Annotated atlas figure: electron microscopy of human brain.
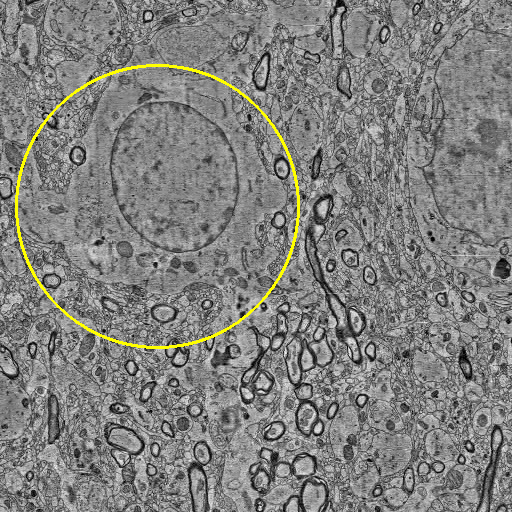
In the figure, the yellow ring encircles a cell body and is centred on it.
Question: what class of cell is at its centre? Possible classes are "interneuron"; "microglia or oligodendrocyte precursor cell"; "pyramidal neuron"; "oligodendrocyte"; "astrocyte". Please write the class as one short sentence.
The yellow ring is drawn around an astrocyte.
